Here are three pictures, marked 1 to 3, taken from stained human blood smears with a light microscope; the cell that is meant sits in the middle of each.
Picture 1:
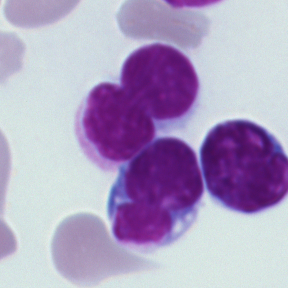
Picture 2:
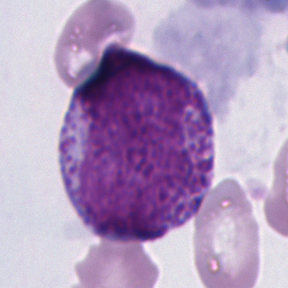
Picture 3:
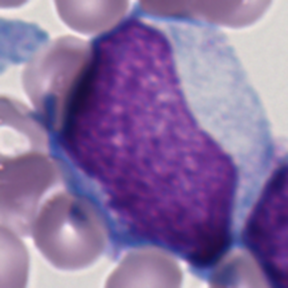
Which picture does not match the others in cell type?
1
